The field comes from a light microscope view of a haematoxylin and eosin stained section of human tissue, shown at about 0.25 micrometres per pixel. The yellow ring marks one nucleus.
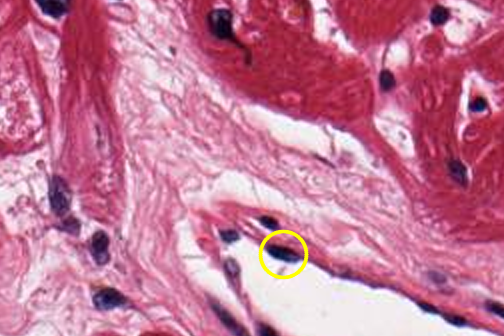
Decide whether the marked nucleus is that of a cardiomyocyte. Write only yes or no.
no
